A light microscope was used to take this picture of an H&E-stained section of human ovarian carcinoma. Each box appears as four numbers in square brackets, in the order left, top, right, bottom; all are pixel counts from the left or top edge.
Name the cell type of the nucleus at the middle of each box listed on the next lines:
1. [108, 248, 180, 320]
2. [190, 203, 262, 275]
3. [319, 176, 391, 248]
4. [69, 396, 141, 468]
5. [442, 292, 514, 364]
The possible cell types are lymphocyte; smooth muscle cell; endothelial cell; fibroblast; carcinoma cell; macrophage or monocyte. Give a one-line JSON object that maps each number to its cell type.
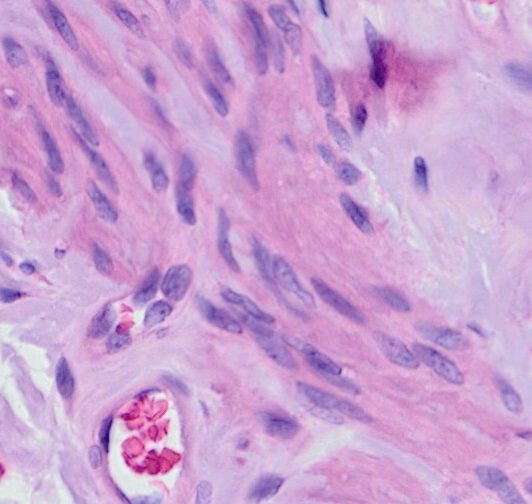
{"1": "endothelial cell", "2": "smooth muscle cell", "3": "smooth muscle cell", "4": "endothelial cell", "5": "fibroblast"}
